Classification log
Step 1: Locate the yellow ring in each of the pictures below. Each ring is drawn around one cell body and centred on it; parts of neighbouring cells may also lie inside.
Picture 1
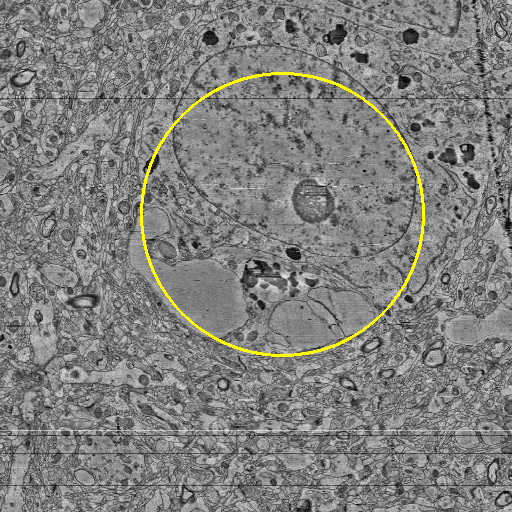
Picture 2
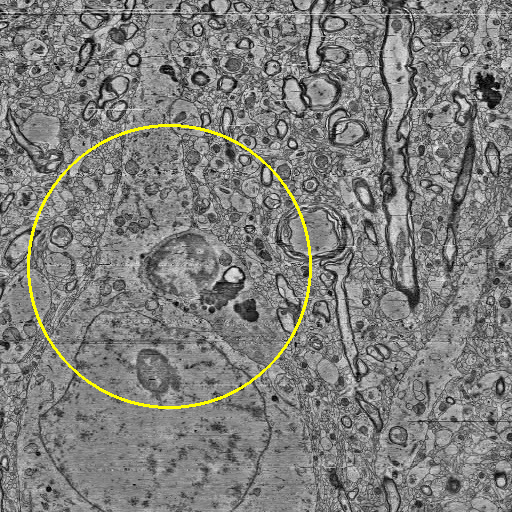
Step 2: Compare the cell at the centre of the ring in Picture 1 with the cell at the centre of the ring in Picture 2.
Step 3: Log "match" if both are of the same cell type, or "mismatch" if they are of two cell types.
mismatch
